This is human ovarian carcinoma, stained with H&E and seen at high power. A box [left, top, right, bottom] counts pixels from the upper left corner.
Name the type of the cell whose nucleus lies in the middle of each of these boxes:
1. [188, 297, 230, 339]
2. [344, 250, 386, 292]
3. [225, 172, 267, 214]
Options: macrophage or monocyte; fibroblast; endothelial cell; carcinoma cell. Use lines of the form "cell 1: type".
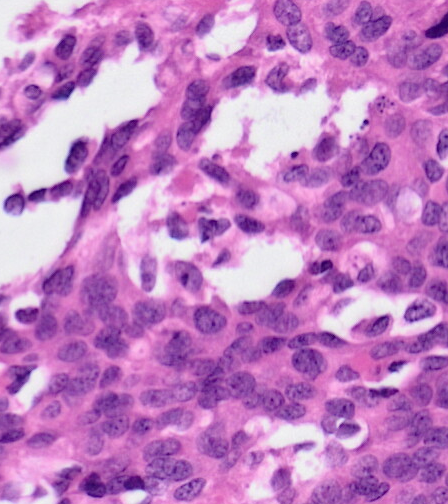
cell 1: carcinoma cell
cell 2: macrophage or monocyte
cell 3: macrophage or monocyte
